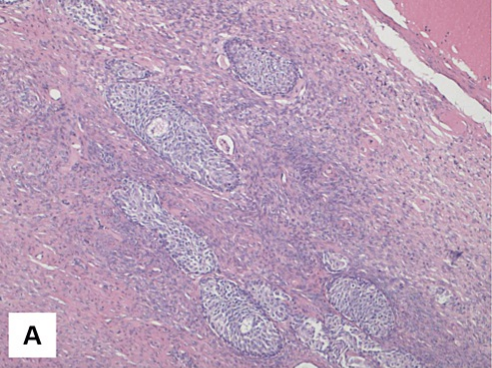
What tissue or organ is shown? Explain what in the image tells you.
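Dense pink tissue with spindle-shaped cells surrounds the epithelial nests. The stroma makes up most of the panel.
Answer: fibrous stroma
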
